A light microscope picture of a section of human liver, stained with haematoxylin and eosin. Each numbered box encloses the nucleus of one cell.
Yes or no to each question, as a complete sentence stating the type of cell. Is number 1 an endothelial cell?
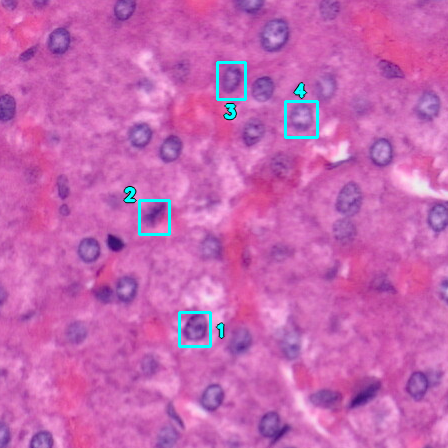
No, cell 1 does not represent an endothelial cell; it represents a hepatocyte.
